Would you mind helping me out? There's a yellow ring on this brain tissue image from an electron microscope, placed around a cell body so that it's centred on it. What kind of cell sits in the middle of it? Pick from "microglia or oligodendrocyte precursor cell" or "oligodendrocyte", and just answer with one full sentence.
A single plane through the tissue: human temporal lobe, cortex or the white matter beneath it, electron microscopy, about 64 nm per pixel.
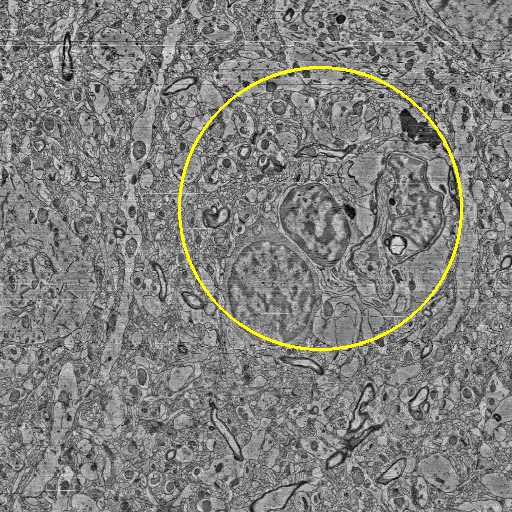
What sits in the middle of that yellow ring is a microglial cell or oligodendrocyte precursor cell, from your choices.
